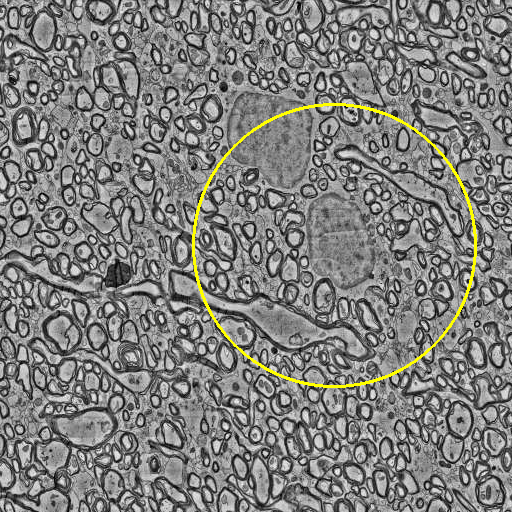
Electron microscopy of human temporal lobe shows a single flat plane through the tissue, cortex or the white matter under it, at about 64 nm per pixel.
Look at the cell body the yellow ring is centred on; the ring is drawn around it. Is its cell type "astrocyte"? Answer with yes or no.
No, its cell type is another.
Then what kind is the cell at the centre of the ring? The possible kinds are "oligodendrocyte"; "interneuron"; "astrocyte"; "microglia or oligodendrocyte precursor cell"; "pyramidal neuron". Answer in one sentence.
The correct answer is that the cell is an oligodendrocyte.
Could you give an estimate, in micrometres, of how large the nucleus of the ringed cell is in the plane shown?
In this plane, about 6 micrometres in length and 4 in width.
